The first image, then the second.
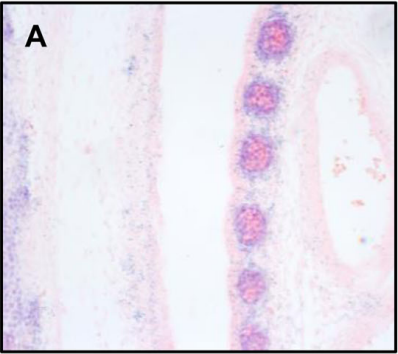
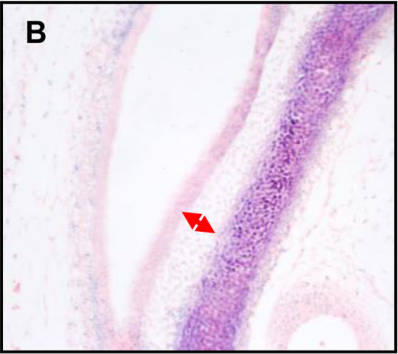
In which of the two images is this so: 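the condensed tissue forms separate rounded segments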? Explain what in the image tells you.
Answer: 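Second image: the purple-stained dense tissue is one continuous band without breaks. First image: the dense tissue is split into a row of separate rounded blocks with gaps between them.
Answer: the first image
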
